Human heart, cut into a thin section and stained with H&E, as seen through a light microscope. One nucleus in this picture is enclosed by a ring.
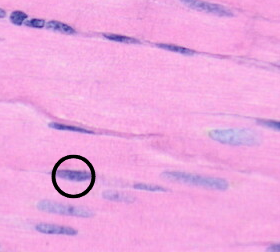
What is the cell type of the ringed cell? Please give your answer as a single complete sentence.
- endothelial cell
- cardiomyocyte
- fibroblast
As far as its identity is concerned, the ringed cell is an endothelial cell.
